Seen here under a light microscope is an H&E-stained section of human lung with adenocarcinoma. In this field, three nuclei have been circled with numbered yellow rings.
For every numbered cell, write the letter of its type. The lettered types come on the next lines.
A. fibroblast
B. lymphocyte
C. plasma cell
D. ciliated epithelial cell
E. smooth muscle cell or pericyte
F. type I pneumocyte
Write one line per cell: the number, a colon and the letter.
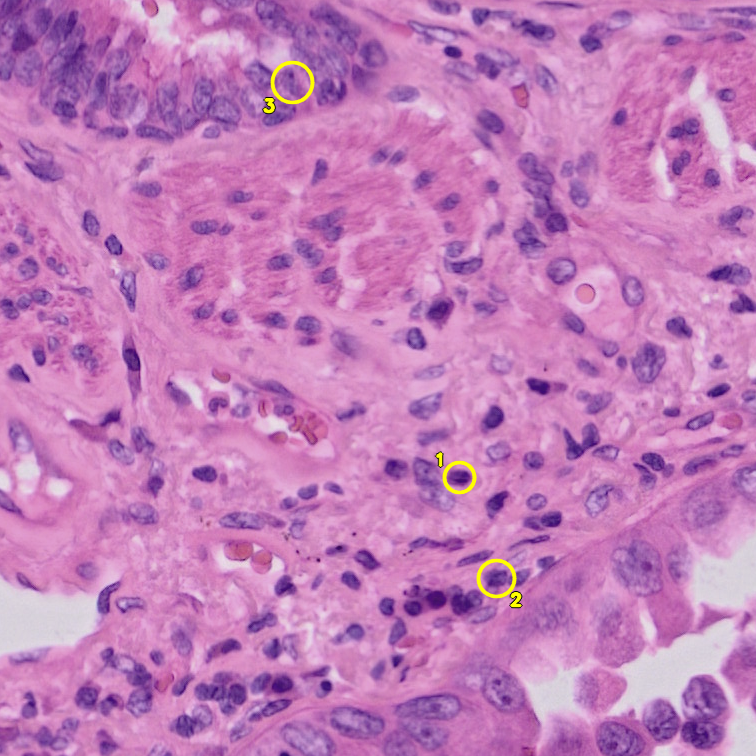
1: C
2: B
3: D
